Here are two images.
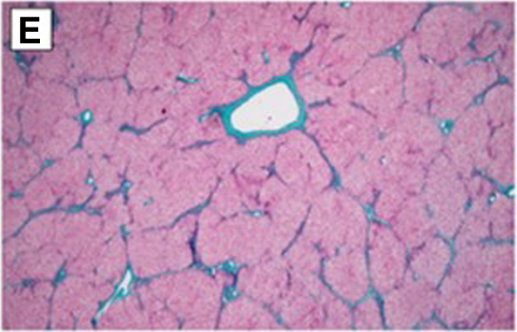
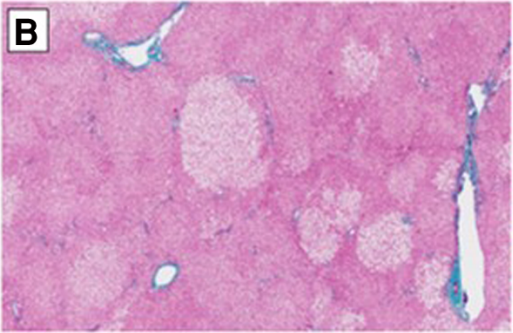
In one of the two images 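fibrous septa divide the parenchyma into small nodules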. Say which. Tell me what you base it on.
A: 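The first image. First image: blue-green bands link vessels and outline many small nodules.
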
